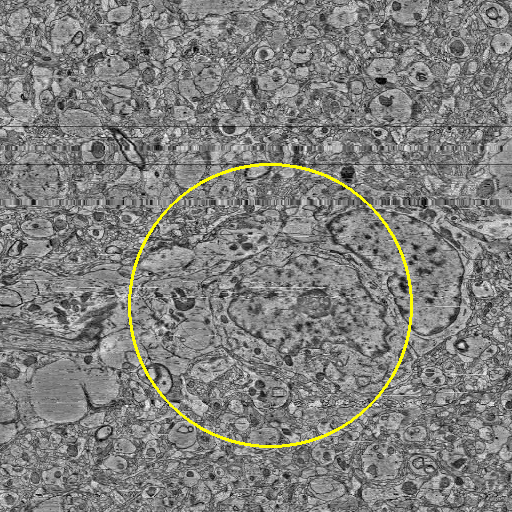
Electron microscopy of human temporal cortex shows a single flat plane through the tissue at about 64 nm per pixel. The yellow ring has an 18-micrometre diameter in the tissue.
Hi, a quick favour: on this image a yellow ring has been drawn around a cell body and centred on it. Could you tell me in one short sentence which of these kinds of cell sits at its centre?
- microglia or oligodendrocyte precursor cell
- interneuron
The ring is centred on an interneuron.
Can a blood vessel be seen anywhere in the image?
Yes, the image shows a blood vessel.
